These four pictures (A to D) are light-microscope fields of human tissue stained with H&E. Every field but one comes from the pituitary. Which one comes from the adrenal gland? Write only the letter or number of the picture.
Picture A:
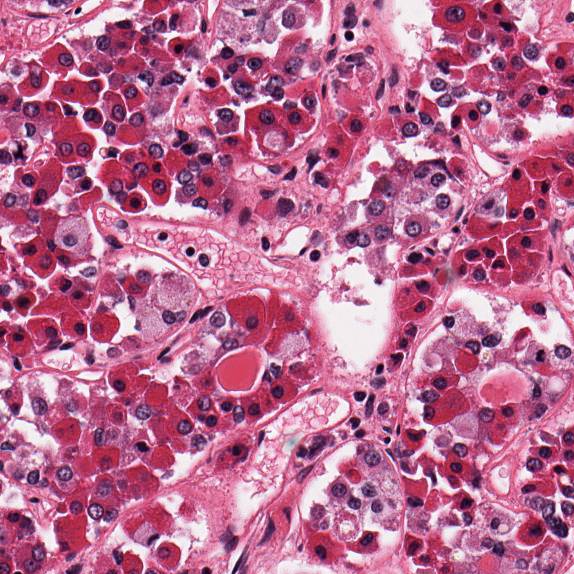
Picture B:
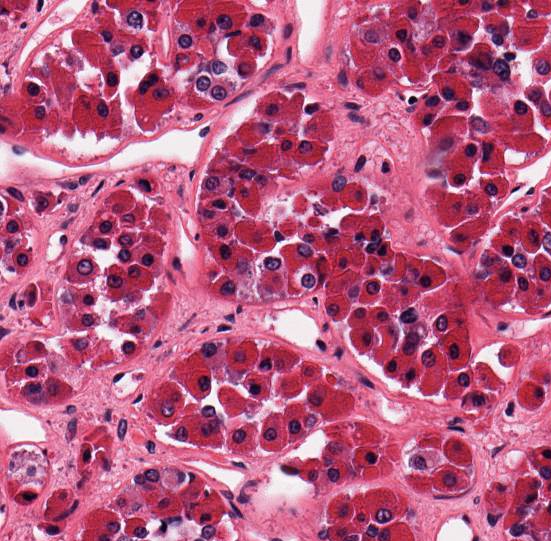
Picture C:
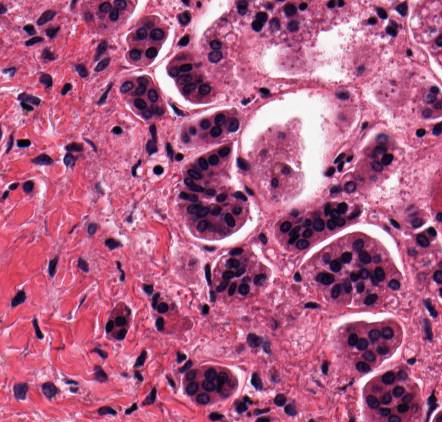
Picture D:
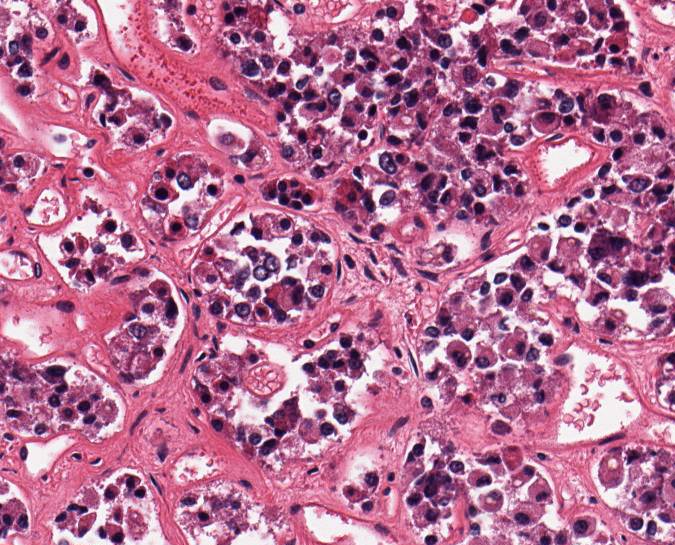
C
